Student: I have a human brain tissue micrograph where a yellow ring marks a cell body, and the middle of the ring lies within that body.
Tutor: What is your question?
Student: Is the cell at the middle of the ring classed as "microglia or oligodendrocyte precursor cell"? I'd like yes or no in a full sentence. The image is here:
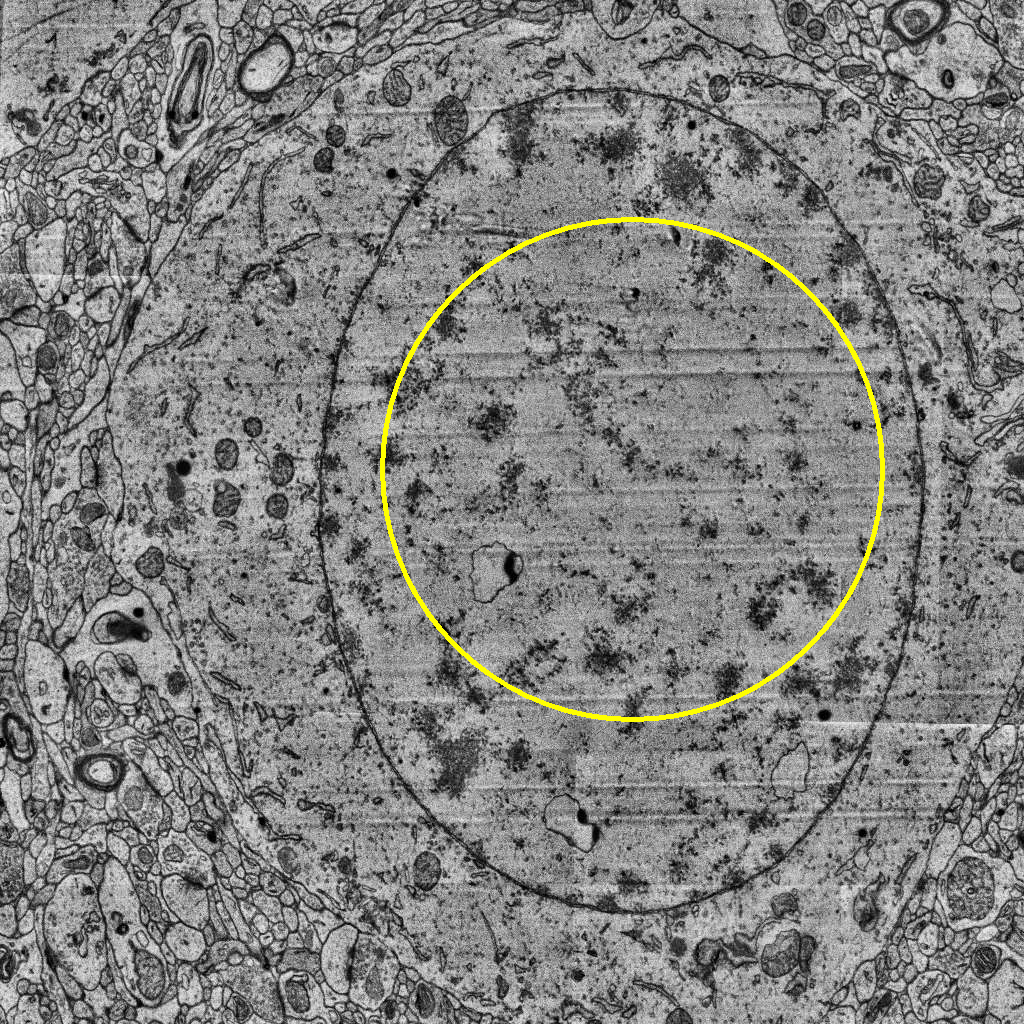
No, the cell at the middle of the ring counts as another kind.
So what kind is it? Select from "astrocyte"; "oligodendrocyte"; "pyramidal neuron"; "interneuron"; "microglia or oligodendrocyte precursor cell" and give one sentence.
Instead, the cell at the centre of the yellow ring is a pyramidal neuron.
